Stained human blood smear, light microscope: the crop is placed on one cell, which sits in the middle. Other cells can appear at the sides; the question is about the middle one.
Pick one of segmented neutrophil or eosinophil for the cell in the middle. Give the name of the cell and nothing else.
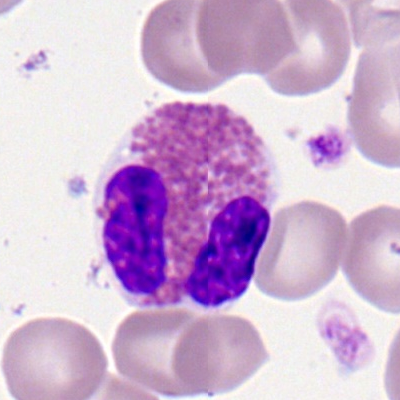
eosinophil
